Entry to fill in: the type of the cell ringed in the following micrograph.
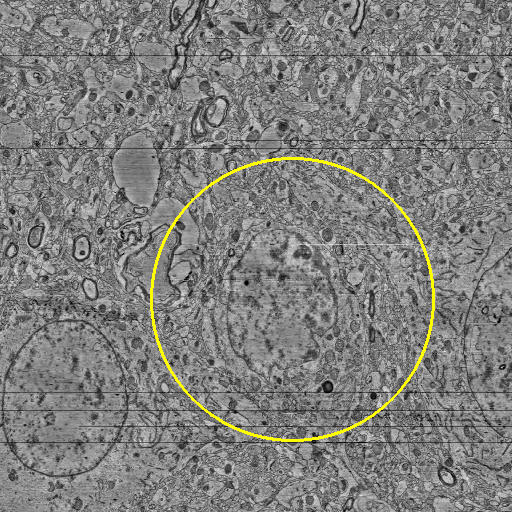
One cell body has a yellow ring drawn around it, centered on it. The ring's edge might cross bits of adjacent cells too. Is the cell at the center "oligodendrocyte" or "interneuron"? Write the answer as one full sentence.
This entry names an interneuron as the cell whose body lies at the ring's center.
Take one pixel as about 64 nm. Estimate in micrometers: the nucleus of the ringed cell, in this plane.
About 10 by 7 micrometers for the nucleus, in this plane.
